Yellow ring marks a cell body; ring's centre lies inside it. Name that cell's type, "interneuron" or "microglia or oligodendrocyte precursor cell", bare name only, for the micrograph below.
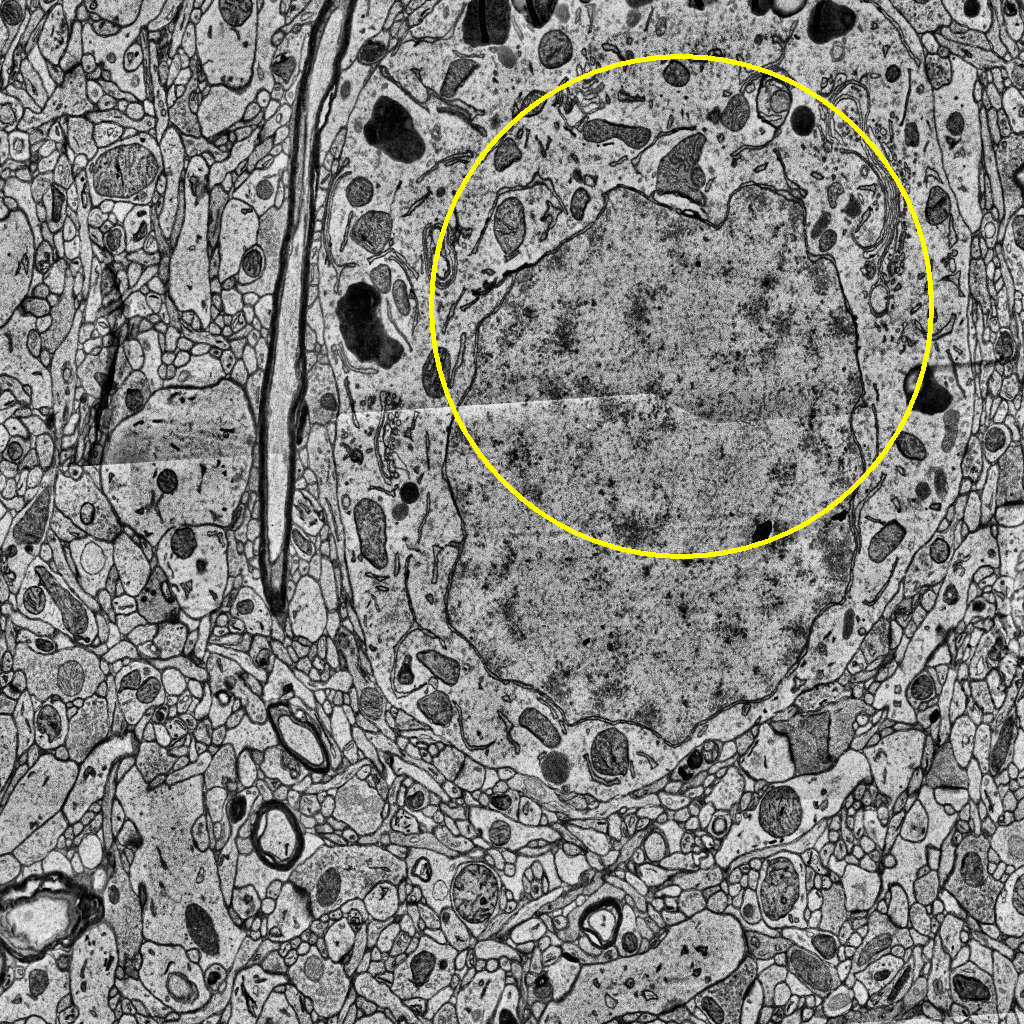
interneuron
